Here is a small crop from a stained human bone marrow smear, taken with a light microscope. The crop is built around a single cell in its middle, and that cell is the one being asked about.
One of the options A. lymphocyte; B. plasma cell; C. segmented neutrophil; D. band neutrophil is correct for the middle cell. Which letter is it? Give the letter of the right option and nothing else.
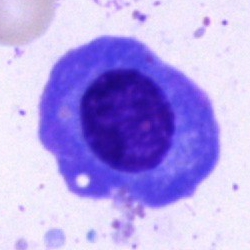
B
